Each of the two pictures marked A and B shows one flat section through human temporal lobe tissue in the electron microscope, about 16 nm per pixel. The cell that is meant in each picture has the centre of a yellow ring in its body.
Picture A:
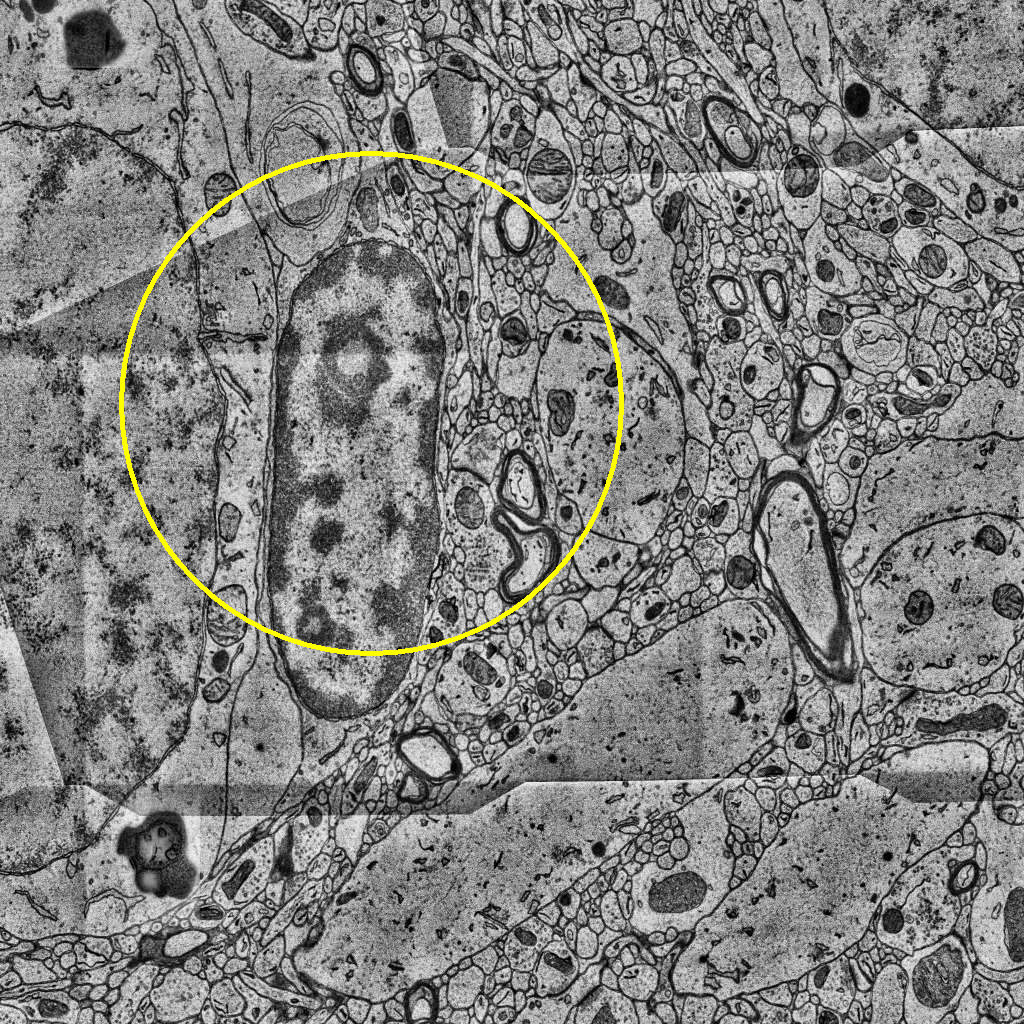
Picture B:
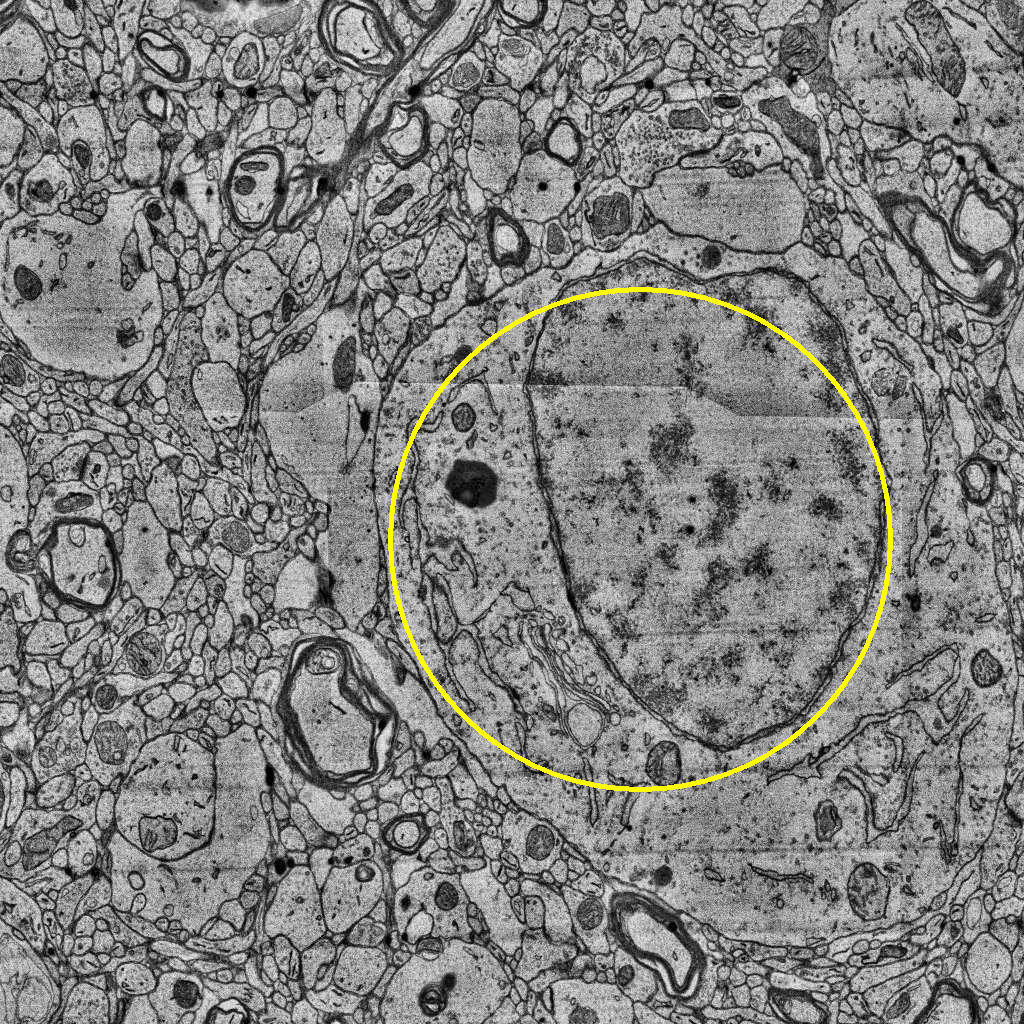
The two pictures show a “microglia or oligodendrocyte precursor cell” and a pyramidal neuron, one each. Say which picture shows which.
It is picture A that shows a “microglia or oligodendrocyte precursor cell”, and picture B that shows a pyramidal neuron.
